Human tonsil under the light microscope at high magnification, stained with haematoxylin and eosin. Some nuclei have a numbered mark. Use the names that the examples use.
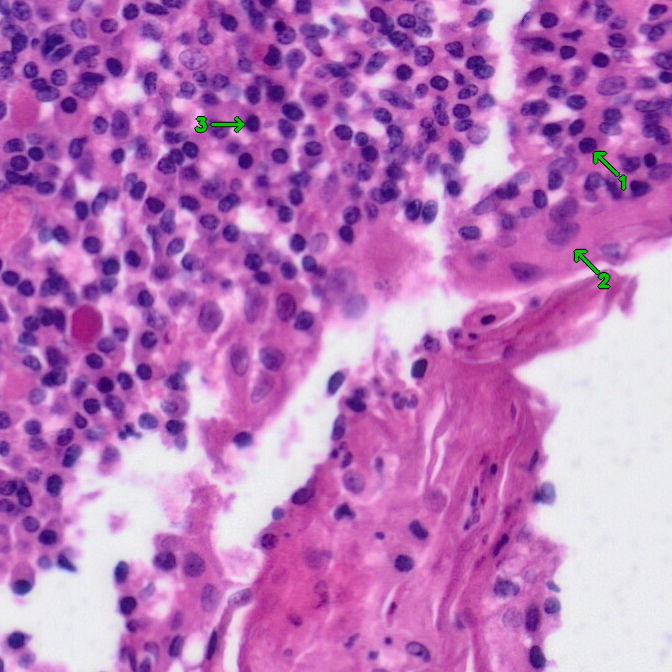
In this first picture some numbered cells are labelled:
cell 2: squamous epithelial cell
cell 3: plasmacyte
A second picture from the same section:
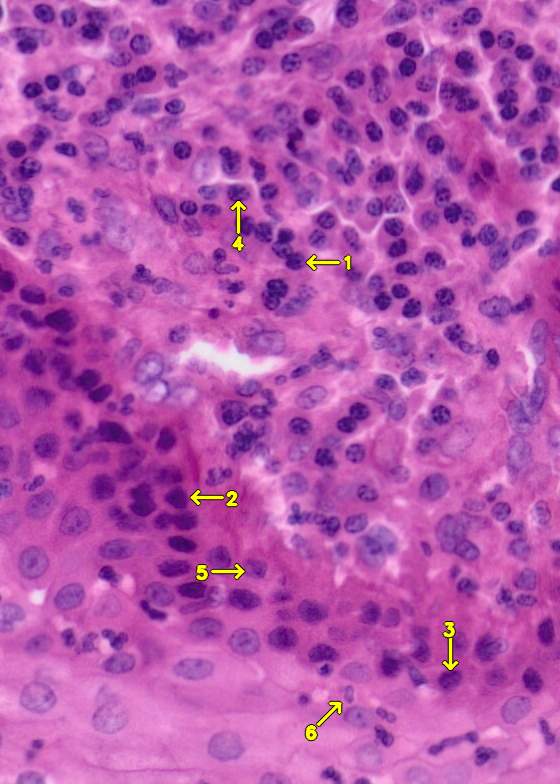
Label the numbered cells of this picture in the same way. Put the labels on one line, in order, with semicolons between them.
plasmacyte; squamous epithelial cell; squamous epithelial cell; plasmacyte; squamous epithelial cell; squamous epithelial cell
